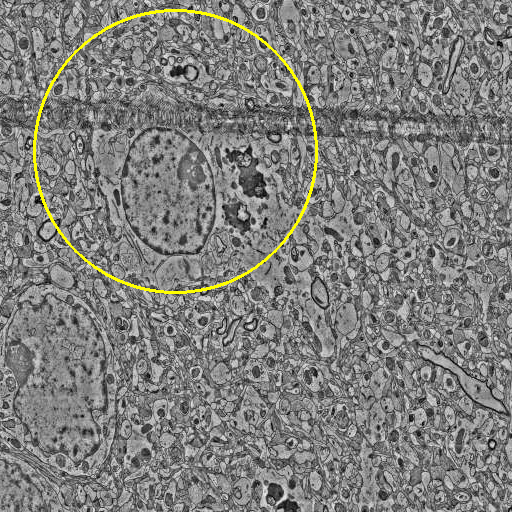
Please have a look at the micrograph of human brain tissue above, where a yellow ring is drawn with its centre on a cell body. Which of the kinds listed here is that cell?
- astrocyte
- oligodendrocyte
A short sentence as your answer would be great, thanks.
At the centre of the ring sits an astrocyte.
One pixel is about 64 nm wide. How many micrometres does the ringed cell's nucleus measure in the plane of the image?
About 8 by 6 micrometers for the nucleus, in this plane.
